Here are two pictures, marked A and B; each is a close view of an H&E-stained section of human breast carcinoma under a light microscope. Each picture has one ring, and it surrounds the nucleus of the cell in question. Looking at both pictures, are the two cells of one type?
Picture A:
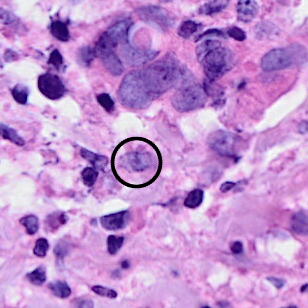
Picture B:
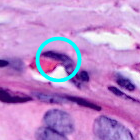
no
